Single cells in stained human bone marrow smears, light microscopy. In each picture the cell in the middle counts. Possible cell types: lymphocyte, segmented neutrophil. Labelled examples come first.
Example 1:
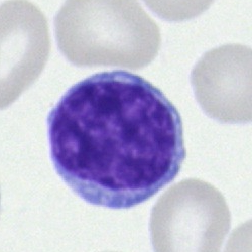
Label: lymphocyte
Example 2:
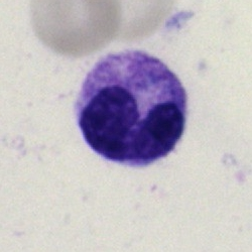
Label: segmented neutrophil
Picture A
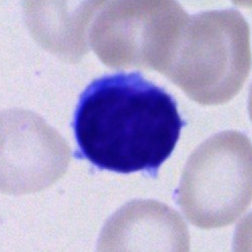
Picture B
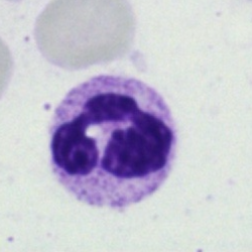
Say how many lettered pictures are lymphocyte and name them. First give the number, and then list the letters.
1: A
